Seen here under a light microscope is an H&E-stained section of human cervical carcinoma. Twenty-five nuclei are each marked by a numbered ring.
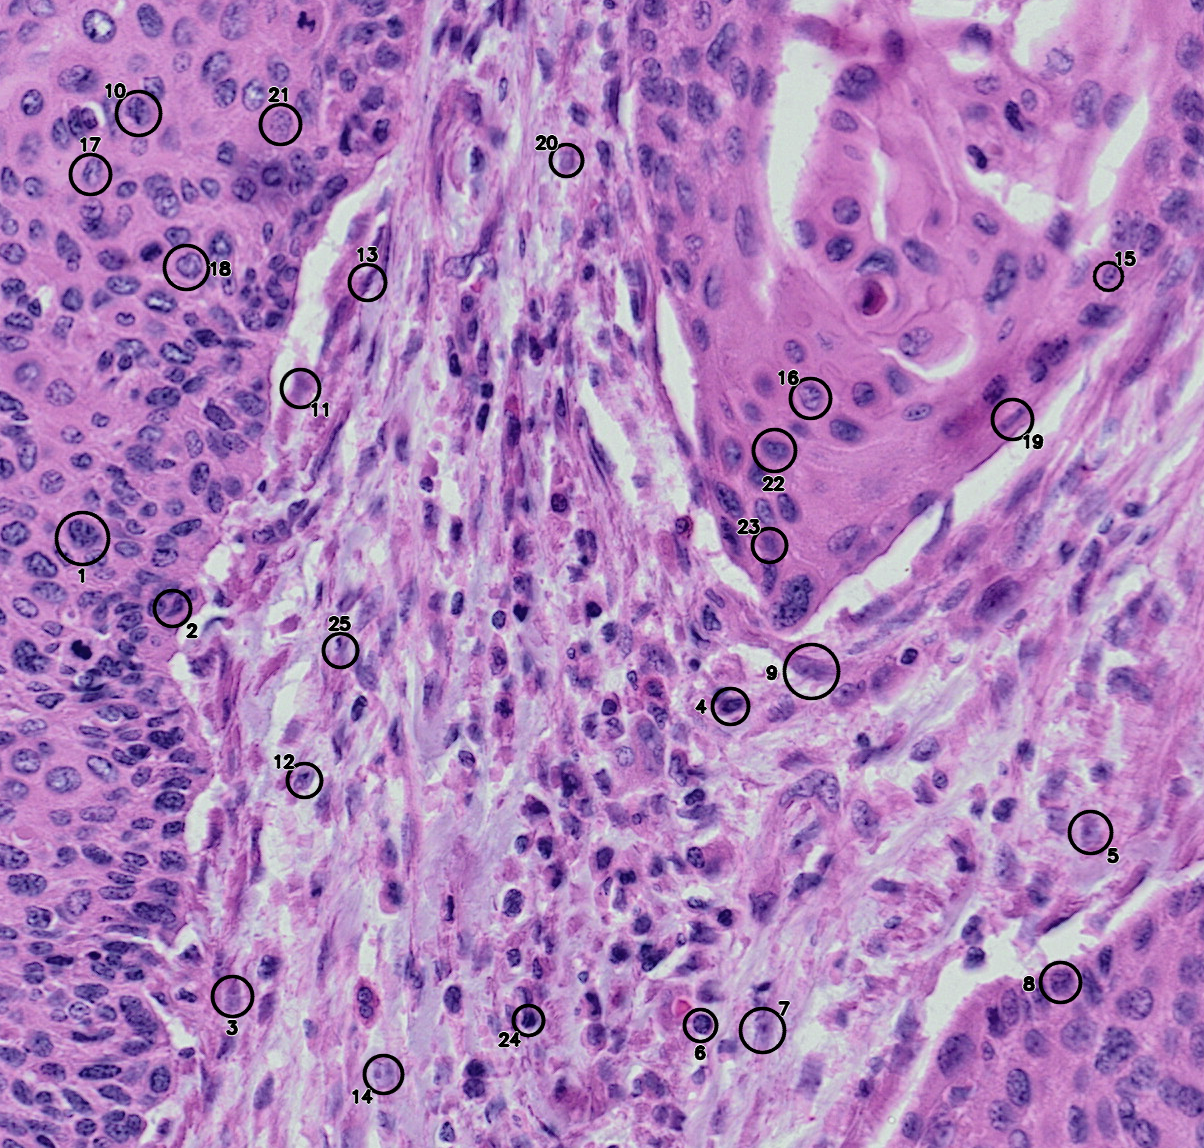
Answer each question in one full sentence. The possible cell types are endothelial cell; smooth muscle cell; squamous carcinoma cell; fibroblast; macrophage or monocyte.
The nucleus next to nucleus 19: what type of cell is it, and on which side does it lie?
The closest nucleus belongs to a squamous carcinoma cell and sits above and to the left of nucleus 19.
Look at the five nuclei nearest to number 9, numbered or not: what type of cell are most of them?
Macrophages or monocytes make up most of the five nuclei closest to number 9.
